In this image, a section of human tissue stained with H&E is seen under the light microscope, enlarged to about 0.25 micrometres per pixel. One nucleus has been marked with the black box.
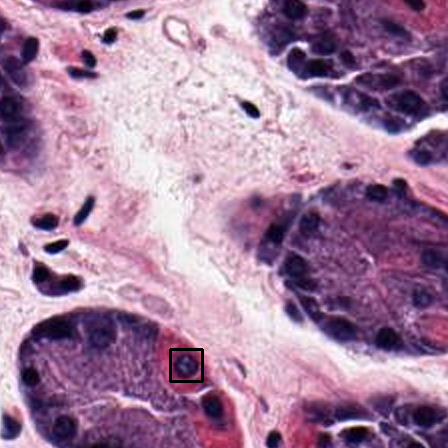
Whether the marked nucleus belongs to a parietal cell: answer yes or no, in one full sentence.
Yes, the marked nucleus belongs to a parietal cell in this field.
